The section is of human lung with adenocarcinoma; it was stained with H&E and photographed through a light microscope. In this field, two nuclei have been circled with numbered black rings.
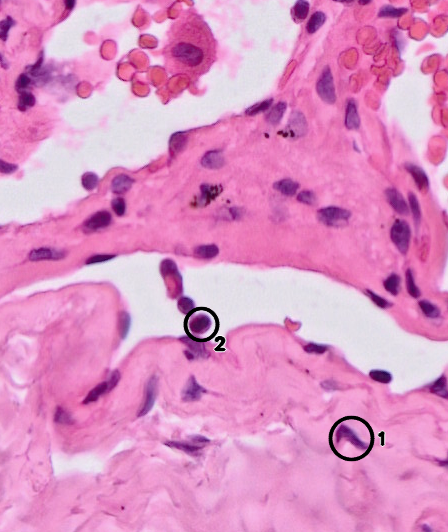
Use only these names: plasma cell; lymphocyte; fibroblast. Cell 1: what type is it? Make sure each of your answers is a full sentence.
The marked nucleus 1 is that of a fibroblast.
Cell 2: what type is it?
The cell to which the number 2 is assigned is a lymphocyte.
